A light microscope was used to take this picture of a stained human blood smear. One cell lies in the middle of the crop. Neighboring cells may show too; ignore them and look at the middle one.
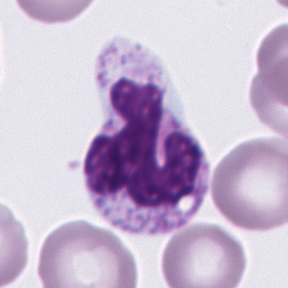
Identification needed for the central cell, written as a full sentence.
For this crop, the central cell is a segmented neutrophil.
